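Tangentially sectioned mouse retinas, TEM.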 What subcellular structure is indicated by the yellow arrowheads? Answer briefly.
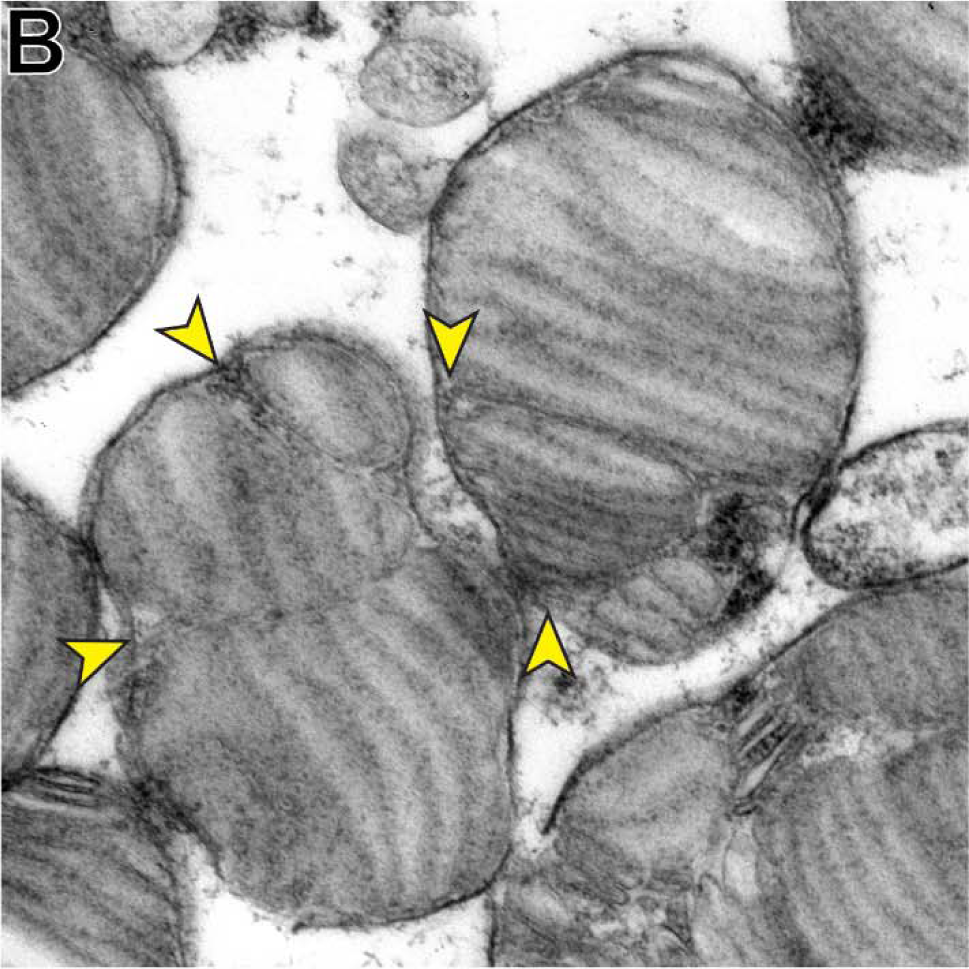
Incisure ends.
